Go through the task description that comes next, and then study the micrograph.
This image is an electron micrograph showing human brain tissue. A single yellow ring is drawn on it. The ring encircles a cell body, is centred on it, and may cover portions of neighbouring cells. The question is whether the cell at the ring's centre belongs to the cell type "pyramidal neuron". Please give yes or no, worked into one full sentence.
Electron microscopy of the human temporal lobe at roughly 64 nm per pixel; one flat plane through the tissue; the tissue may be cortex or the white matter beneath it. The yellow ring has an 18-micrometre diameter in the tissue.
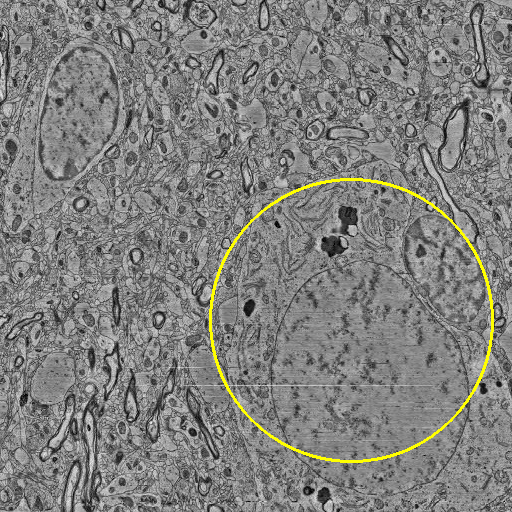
Yes, the cell that the ring is centred on in the micrograph is of this kind.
